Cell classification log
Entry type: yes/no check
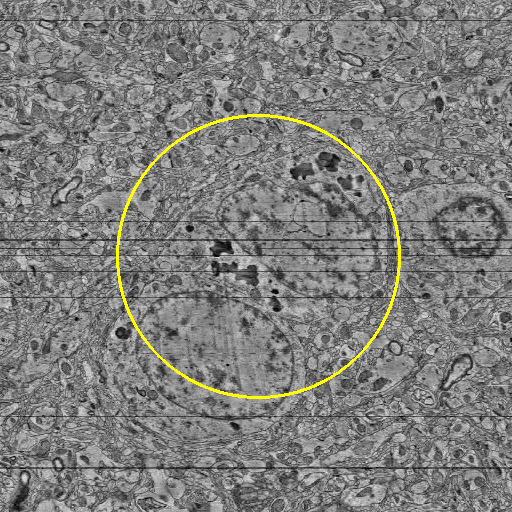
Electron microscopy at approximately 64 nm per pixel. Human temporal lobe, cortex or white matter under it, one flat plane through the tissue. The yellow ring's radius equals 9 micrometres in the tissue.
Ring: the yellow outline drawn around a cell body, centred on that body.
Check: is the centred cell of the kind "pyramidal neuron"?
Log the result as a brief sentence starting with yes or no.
No, the cell is of another kind.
